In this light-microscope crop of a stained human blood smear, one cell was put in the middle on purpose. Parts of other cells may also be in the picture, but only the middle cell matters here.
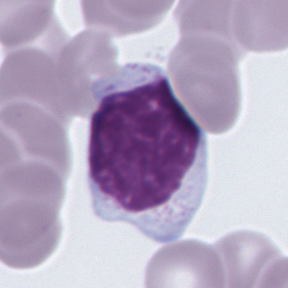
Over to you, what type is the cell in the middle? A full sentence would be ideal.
To answer, the cell in the center of the crop is a large granular lymphocyte.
